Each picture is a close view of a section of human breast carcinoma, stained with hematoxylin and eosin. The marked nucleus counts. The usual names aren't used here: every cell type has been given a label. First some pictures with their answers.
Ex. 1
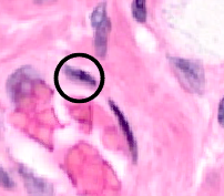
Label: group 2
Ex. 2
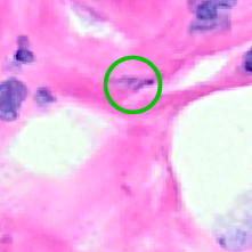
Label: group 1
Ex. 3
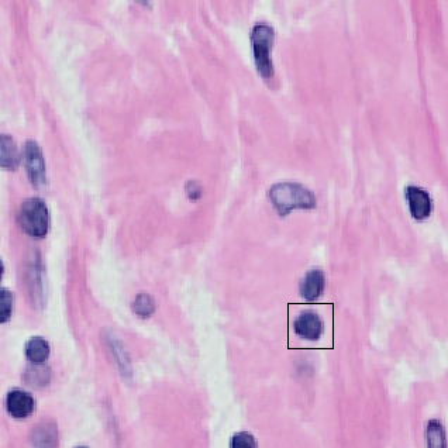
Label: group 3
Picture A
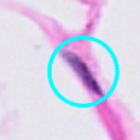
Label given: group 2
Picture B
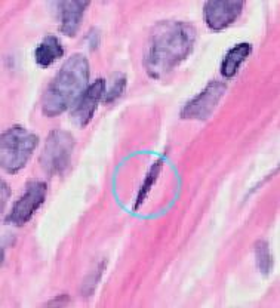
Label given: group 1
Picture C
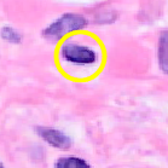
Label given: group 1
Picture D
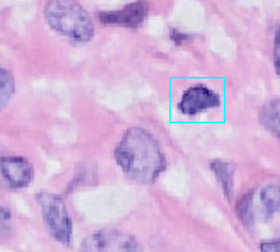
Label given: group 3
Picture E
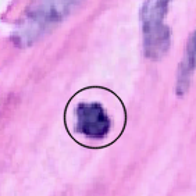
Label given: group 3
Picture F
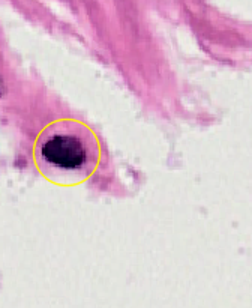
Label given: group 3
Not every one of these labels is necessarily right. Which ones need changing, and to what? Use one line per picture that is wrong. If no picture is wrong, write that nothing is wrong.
C: group 3, not group 1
